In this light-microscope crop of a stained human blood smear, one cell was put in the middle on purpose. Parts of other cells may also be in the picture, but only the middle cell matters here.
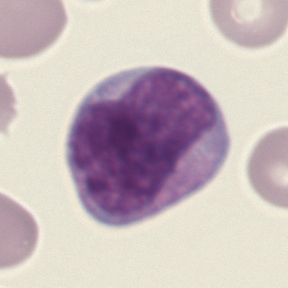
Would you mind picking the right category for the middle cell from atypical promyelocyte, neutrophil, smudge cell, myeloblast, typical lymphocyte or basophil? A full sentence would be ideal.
This crop is built around an atypical promyelocyte at its centre.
